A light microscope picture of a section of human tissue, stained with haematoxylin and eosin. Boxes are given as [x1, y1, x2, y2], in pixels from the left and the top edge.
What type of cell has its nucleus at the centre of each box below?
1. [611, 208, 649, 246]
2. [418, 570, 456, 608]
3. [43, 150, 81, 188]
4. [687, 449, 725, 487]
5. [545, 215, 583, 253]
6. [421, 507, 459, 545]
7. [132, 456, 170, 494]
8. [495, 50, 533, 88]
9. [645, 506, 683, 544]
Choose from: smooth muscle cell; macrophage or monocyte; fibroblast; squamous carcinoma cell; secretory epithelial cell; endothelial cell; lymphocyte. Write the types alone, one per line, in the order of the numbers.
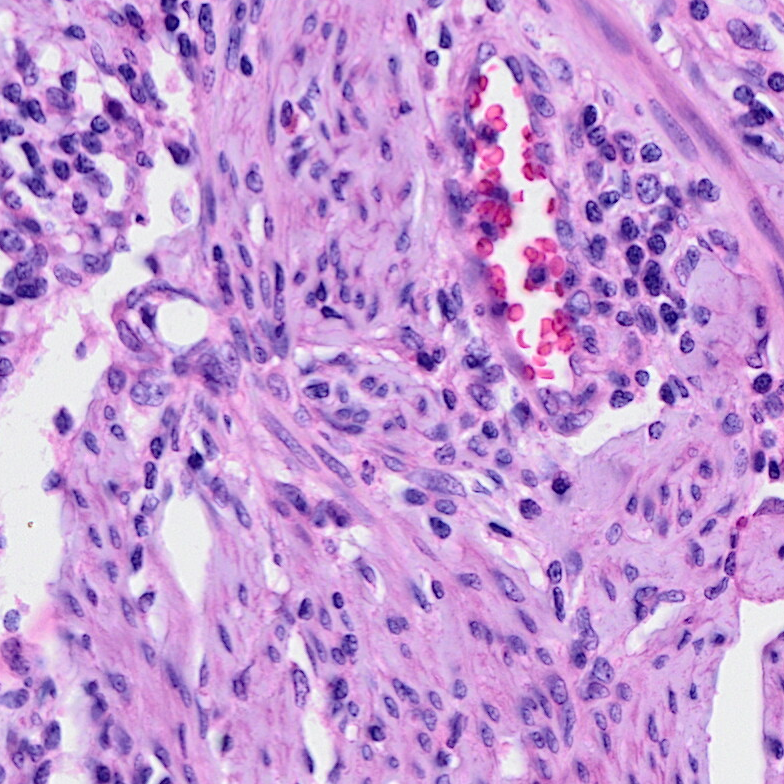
lymphocyte
lymphocyte
lymphocyte
smooth muscle cell
endothelial cell
lymphocyte
lymphocyte
endothelial cell
smooth muscle cell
